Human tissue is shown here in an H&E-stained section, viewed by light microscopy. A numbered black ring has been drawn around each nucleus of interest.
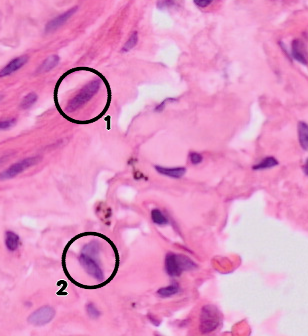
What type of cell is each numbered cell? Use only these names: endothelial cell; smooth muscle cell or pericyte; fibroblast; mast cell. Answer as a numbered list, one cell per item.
1. smooth muscle cell or pericyte
2. fibroblast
